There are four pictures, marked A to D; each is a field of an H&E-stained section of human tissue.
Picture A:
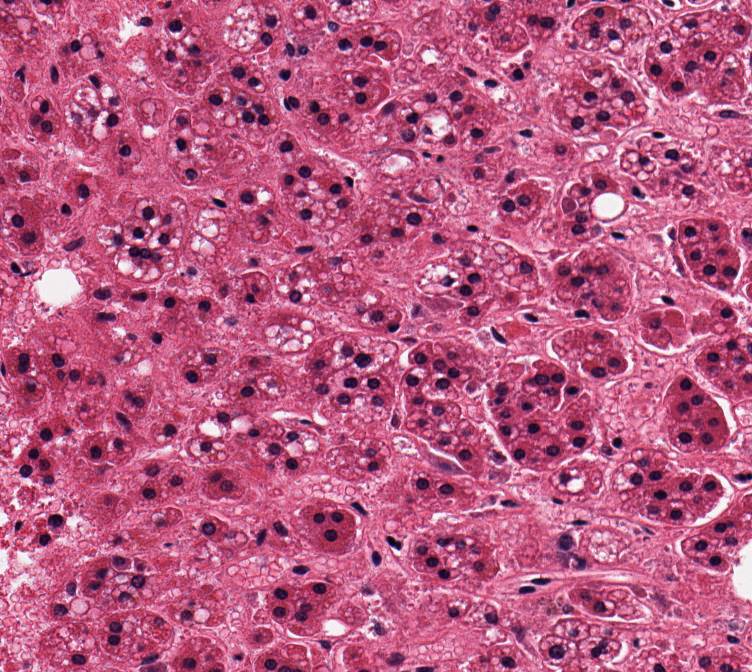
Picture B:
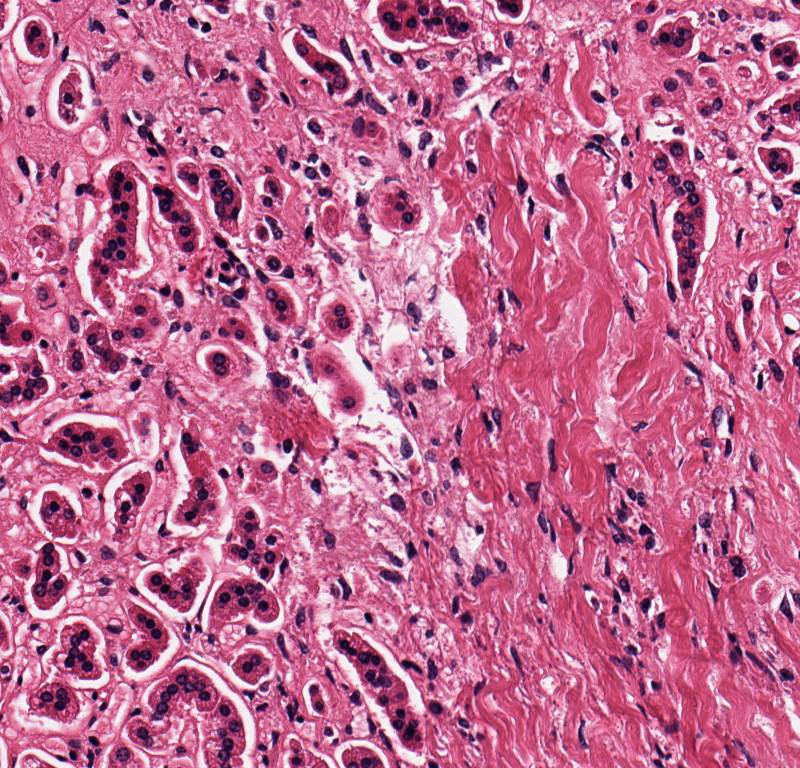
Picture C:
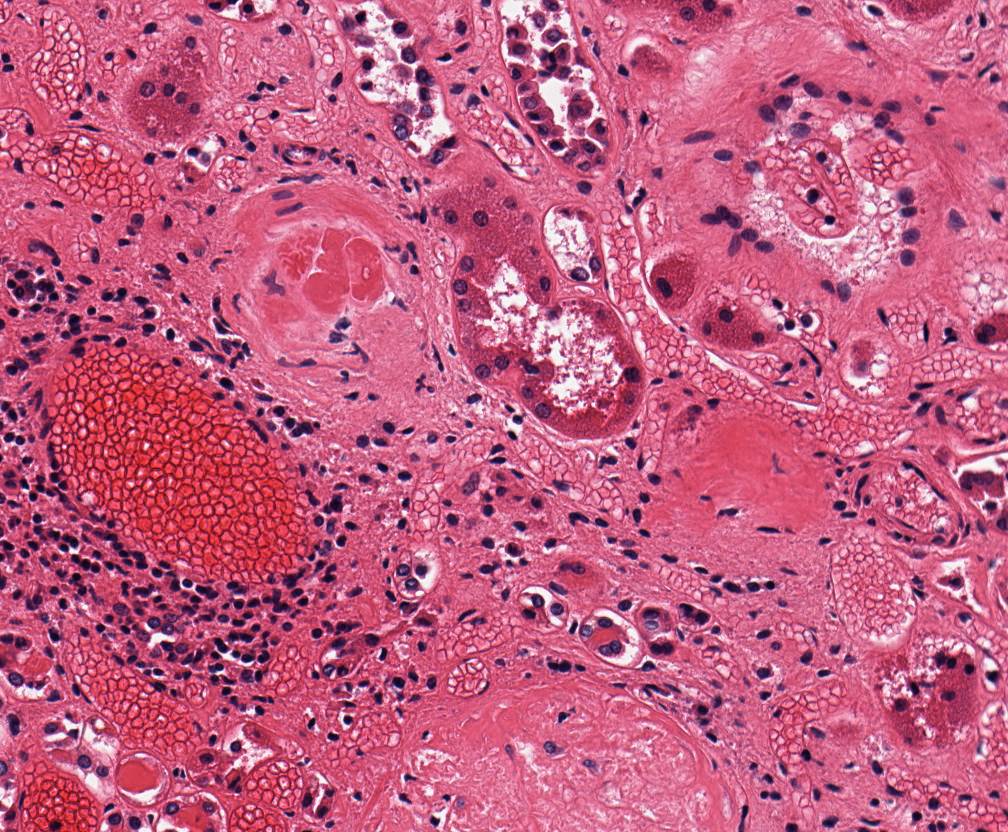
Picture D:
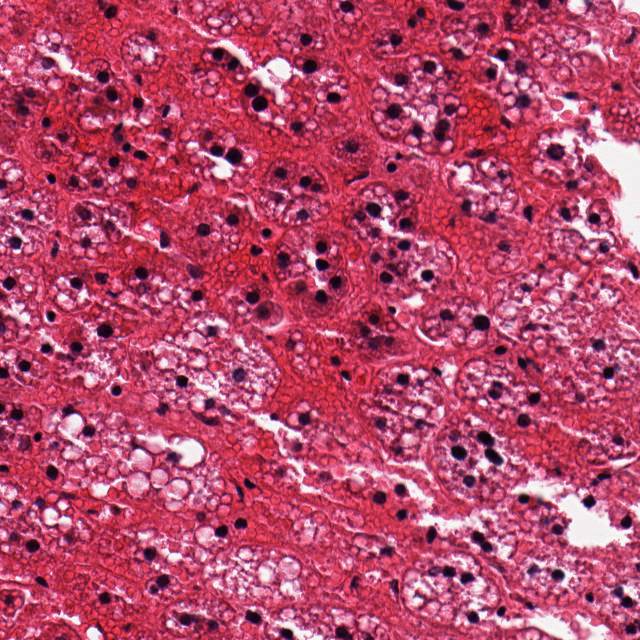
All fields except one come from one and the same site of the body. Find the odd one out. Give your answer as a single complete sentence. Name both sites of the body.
Picture C is the odd one out: it comes from the renal cortex, while the others come from the adrenal gland.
